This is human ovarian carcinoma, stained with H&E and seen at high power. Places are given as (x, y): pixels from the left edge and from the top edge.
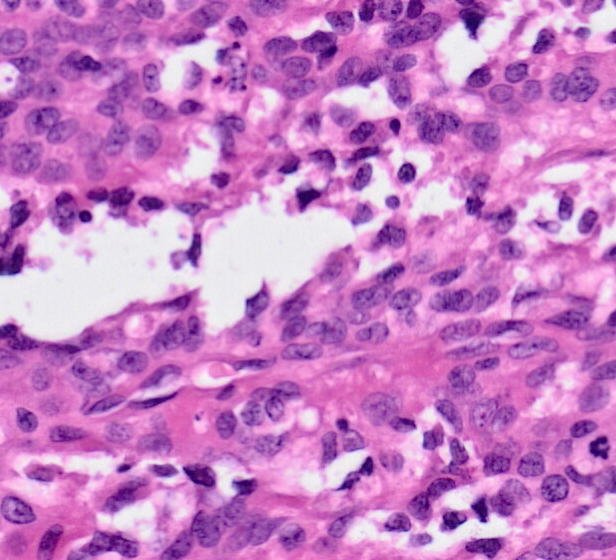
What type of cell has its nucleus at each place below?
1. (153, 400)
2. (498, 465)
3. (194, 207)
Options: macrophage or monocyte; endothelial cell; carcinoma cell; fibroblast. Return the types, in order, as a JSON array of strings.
["endothelial cell", "carcinoma cell", "macrophage or monocyte"]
